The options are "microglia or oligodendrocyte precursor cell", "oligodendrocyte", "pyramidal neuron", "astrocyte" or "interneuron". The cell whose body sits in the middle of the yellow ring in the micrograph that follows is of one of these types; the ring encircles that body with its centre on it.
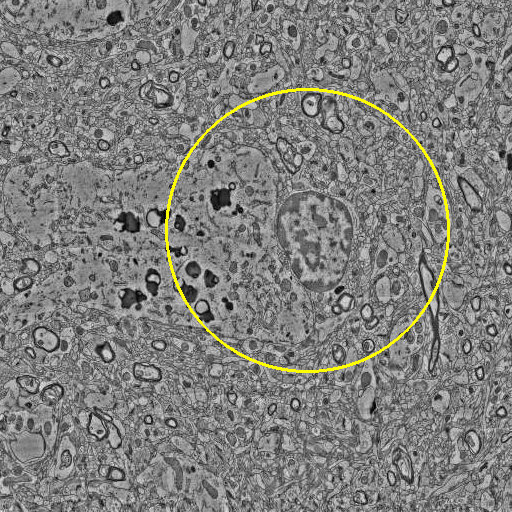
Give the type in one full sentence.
Going by the micrograph, the cell centred in the yellow ring is a microglial cell or oligodendrocyte precursor cell.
